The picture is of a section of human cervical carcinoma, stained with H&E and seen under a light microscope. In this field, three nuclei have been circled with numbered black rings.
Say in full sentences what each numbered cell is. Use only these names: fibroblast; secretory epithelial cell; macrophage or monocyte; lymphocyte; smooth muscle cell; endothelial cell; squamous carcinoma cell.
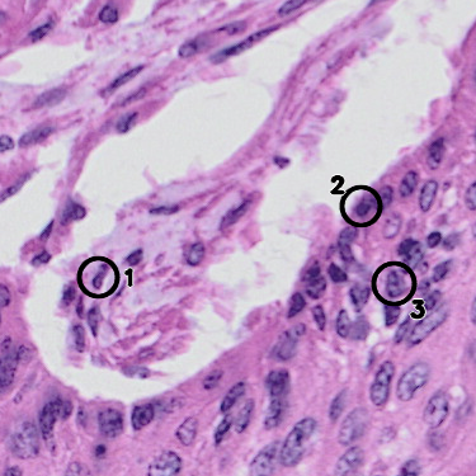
Cell 1 is a fibroblast. Cells 2 and 3 are squamous carcinoma cells.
